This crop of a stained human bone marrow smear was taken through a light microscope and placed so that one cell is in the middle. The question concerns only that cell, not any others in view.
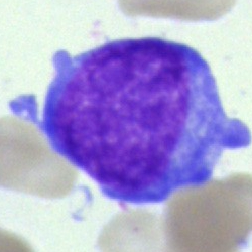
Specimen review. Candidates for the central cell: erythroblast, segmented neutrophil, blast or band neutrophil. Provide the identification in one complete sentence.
In the centre of this crop there is a blast.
